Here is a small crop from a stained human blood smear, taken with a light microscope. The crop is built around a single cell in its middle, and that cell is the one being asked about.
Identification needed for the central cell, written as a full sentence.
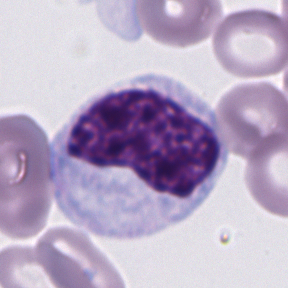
Where the crop is centred, there is a metamyelocyte.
